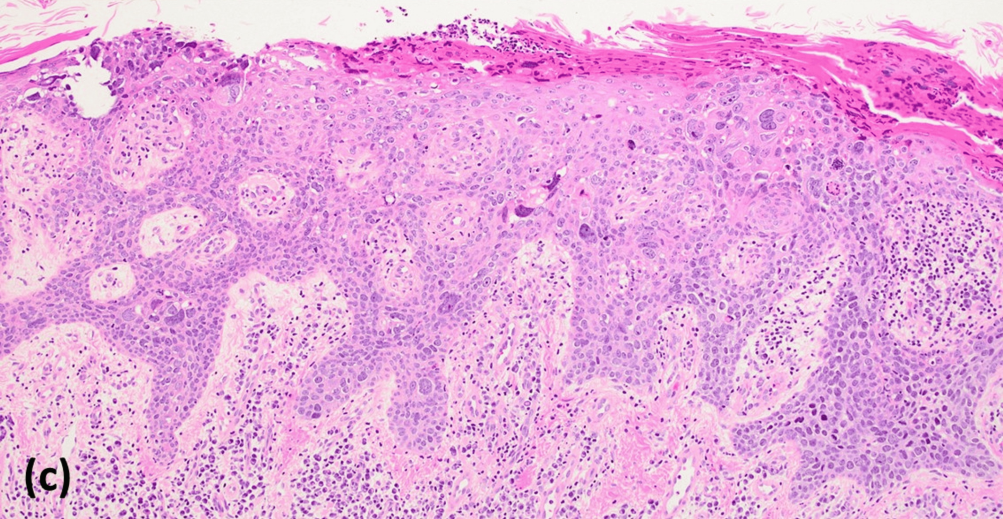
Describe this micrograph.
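This is skin, and the epidermis is made of atypical keratinocytes. The epidermis is thickened and pushes broad, irregular projections down into the dermis. Its cells do not mature in an orderly way from the base to the surface. Many have enlarged, dark purple nuclei of uneven size and shape, and some cells have crowded, clumped nuclei. On top lies a pink layer of compact keratin that still holds some nuclei. In the dermis between and below the epidermal projections, small dark round nuclei of inflammatory cells are densely gathered in pale pink connective tissue.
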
